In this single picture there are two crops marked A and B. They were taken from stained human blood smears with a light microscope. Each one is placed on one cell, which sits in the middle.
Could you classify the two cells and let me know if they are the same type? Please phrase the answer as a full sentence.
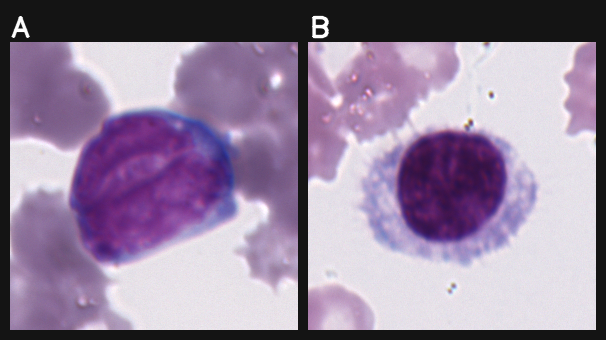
No, a myeloblast is the cell in crop A; a hairy cell is the cell in crop B.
